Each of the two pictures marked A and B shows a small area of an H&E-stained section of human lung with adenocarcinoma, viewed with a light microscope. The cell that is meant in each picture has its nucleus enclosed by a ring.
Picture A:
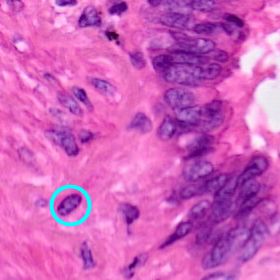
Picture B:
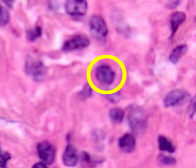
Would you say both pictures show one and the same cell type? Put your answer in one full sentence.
Yes, both are mast cells.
